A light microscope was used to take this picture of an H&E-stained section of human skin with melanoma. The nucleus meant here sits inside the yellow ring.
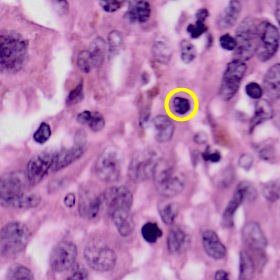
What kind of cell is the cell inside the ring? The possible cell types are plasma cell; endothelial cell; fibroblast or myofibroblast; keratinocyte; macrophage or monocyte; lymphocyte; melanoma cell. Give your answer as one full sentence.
Assigned to a cell type, the cell inside the ring is a lymphocyte.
